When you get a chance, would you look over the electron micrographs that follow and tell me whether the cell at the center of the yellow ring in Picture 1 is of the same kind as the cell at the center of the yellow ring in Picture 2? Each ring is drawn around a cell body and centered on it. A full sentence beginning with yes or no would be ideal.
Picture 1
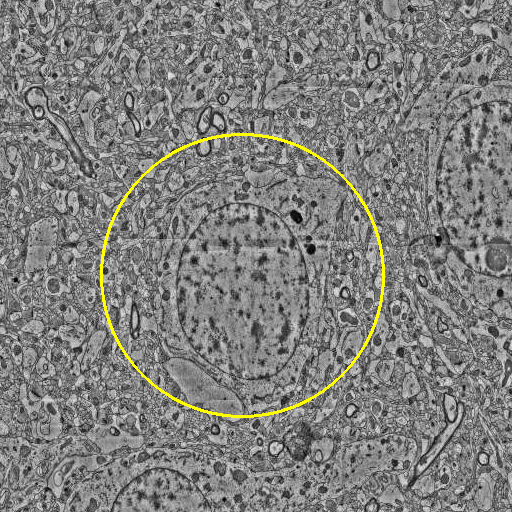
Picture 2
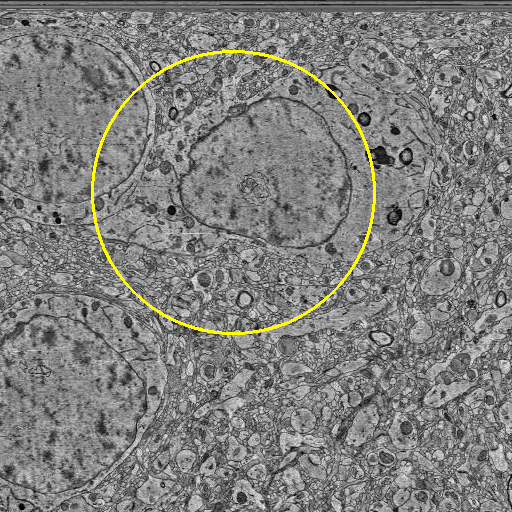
Yes, the two cells are of the same kind.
